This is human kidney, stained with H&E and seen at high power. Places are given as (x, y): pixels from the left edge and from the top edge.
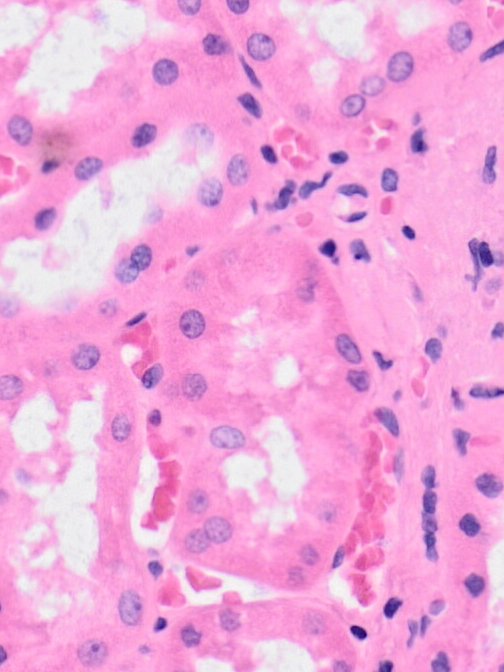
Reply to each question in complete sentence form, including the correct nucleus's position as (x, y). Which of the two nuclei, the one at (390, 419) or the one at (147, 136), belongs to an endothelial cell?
The nucleus located at (390, 419) is the one held within an endothelial cell.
